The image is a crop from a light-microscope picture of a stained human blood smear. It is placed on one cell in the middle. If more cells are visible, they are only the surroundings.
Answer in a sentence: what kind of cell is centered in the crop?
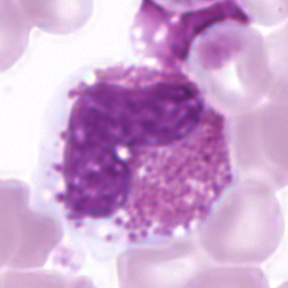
In the middle of this smear crop, the cell is an eosinophil.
